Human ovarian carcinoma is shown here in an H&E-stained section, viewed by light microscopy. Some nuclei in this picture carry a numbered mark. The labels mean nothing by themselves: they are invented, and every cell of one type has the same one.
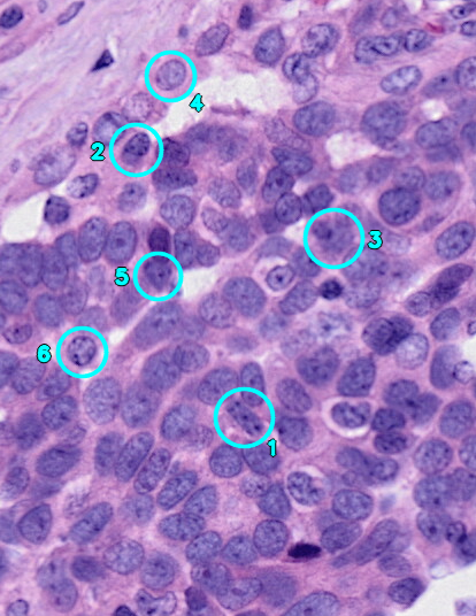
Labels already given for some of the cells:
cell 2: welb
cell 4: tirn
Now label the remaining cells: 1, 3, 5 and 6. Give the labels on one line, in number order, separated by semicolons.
welb; tirn; tirn; welb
